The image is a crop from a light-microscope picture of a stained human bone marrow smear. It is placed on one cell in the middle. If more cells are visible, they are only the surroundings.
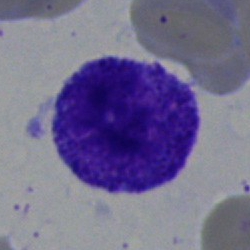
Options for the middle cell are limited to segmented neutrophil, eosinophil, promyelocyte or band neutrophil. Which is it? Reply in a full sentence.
The cell at the centre of the field is a promyelocyte.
